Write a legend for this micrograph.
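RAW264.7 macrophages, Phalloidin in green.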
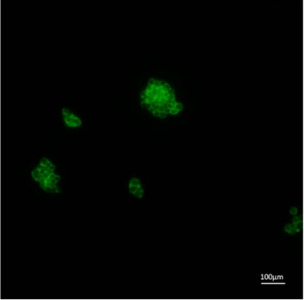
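Individual cells are small and round with no long processes, giving each cluster a finely granular, cobbled look. One large colony dominates the upper middle and several smaller ones lie around it.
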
